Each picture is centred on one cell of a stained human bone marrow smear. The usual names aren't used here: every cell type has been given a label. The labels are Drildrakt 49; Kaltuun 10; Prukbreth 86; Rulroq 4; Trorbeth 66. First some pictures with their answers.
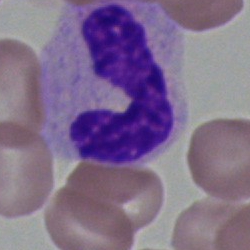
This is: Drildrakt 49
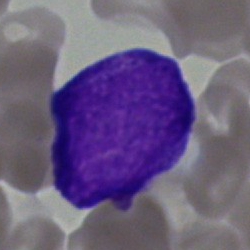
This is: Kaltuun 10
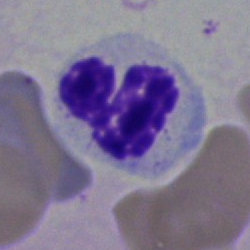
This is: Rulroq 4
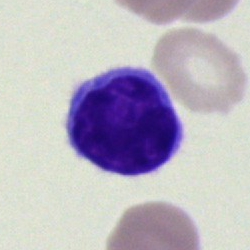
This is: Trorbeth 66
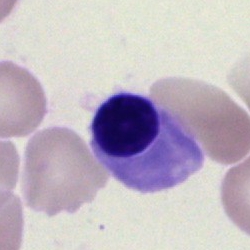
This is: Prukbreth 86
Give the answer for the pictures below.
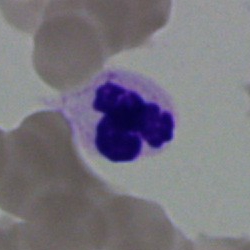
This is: Rulroq 4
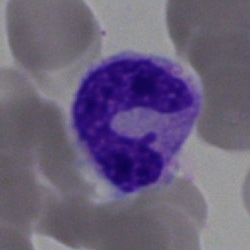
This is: Drildrakt 49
